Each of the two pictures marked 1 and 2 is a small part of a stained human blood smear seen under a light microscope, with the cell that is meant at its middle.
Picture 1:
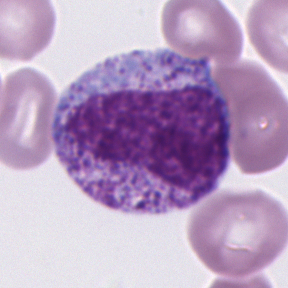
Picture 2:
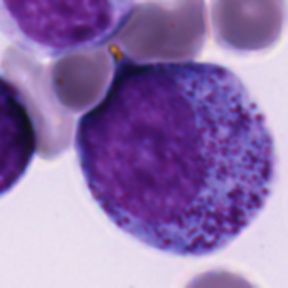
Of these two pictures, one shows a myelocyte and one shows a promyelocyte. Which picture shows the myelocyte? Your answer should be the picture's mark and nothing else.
1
